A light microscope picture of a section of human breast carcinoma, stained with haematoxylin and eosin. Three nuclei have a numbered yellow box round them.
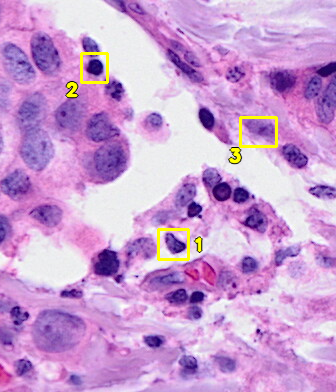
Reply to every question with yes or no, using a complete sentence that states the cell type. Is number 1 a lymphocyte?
Yes, in this tissue section, number 1 is a lymphocyte.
